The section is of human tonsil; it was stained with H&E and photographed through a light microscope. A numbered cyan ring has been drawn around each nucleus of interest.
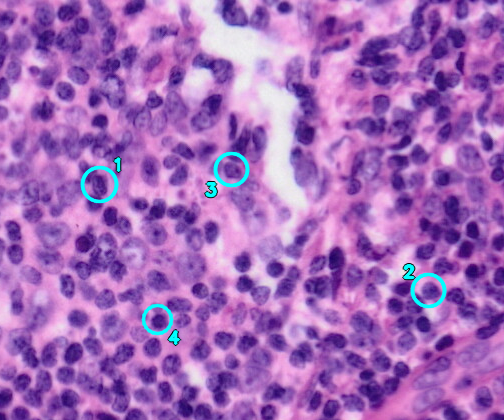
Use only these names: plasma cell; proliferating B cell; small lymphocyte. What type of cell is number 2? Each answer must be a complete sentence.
Number 2 is placed on a small lymphocyte here.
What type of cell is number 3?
In this section, the cell numbered 3 is a proliferating B cell.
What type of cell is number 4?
In this section, number 4 marks a small lymphocyte.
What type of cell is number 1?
Identified as a proliferating B cell is the cell bearing the number 1.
